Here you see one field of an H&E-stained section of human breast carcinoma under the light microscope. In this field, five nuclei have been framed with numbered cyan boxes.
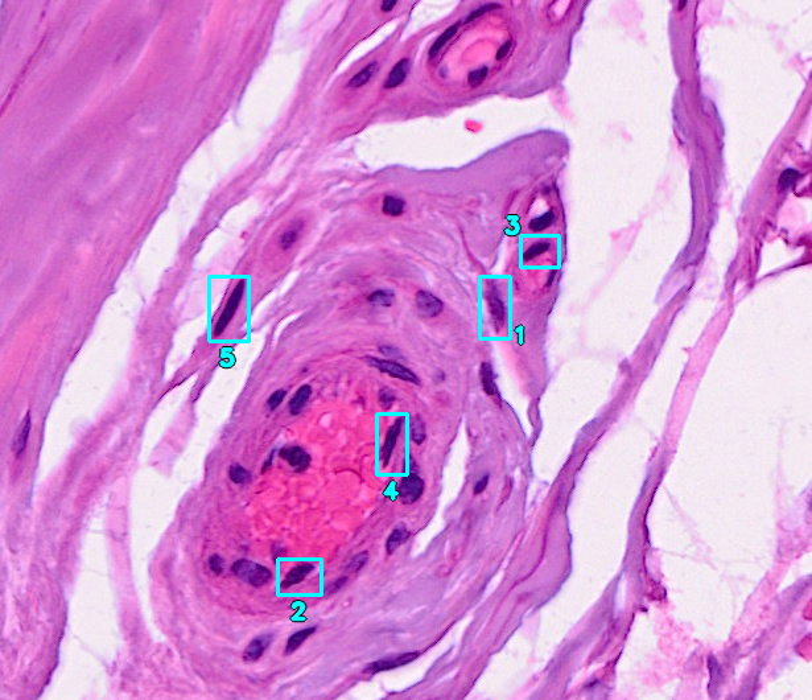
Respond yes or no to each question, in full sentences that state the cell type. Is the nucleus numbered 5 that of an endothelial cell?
No, the cell labelled 5 is a fibroblast and not an endothelial cell.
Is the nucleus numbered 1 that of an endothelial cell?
No, an endothelial cell is not what cell 1 is; it is a fibroblast.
